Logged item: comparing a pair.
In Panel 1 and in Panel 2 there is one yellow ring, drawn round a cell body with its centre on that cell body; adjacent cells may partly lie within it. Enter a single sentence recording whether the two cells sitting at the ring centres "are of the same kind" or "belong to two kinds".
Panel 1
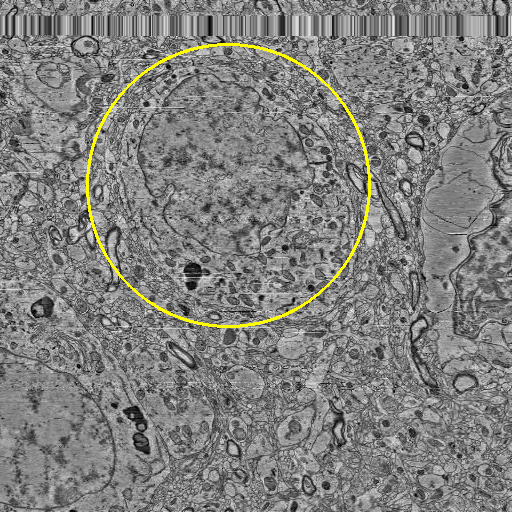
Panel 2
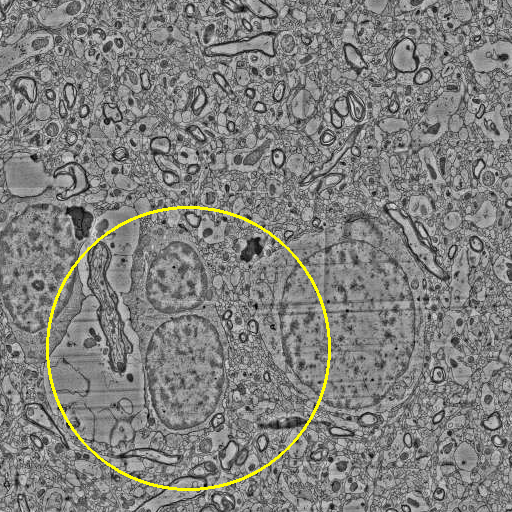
Logged: the cells centred in the rings of Panel 1 and Panel 2 belong to two kinds.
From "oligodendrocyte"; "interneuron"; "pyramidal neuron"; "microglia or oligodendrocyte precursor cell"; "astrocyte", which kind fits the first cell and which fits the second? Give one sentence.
The cell marked in the first picture is an interneuron, and the one marked in the second is an oligodendrocyte.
